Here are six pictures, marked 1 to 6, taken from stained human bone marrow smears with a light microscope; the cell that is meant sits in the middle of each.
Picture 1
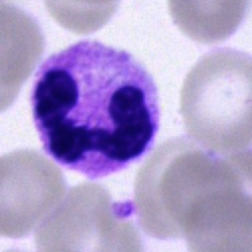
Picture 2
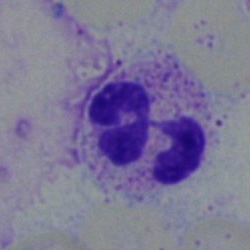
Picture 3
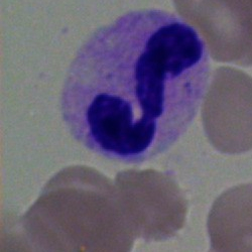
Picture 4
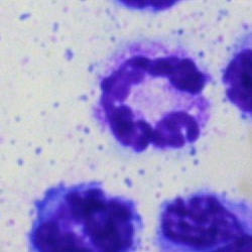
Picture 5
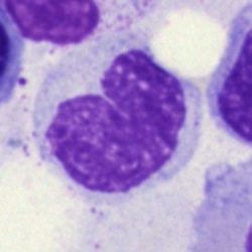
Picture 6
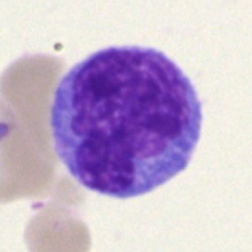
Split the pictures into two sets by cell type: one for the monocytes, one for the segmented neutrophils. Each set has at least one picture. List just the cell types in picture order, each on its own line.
segmented neutrophil
segmented neutrophil
segmented neutrophil
segmented neutrophil
monocyte
monocyte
